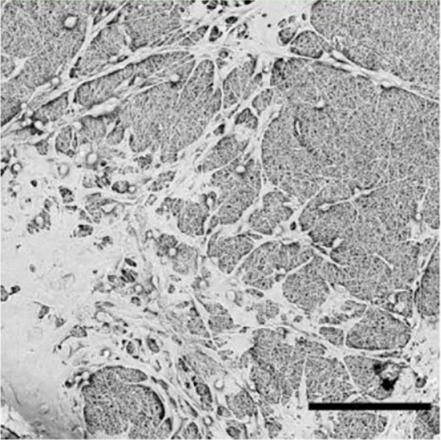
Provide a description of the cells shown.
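A layer of flattened, spread cells lies over a mat of fine, randomly interwoven fibres. The cells send out long, thin, branching processes that stretch across the fibrous surface and link neighbouring cells into a loose network. Here and there small rounded bodies sit on or beside the cell sheet. Toward the lower left the cells merge into a more continuous, smooth sheet that hides the fibres beneath, while elsewhere the bare fibrous mat shows between the strands of cells.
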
